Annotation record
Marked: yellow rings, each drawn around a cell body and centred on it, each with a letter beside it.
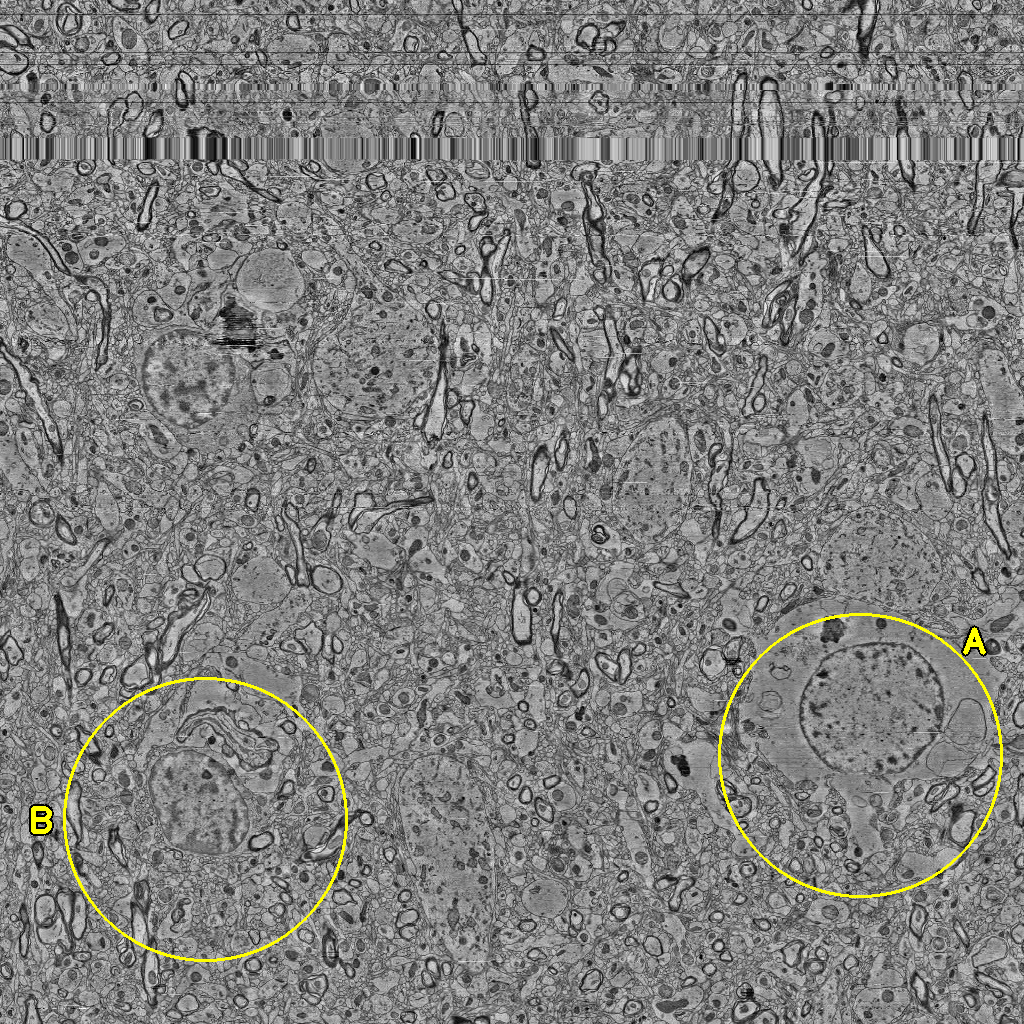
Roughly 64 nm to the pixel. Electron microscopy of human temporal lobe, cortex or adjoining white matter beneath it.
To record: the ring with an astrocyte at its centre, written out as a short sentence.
The ring centred on it is ring A.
